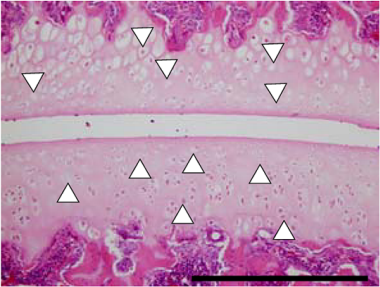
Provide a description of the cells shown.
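Articular cartilage of two opposing surfaces facing across the joint space, with pink matrix. The surfaces stay smooth, with bone and marrow beneath.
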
